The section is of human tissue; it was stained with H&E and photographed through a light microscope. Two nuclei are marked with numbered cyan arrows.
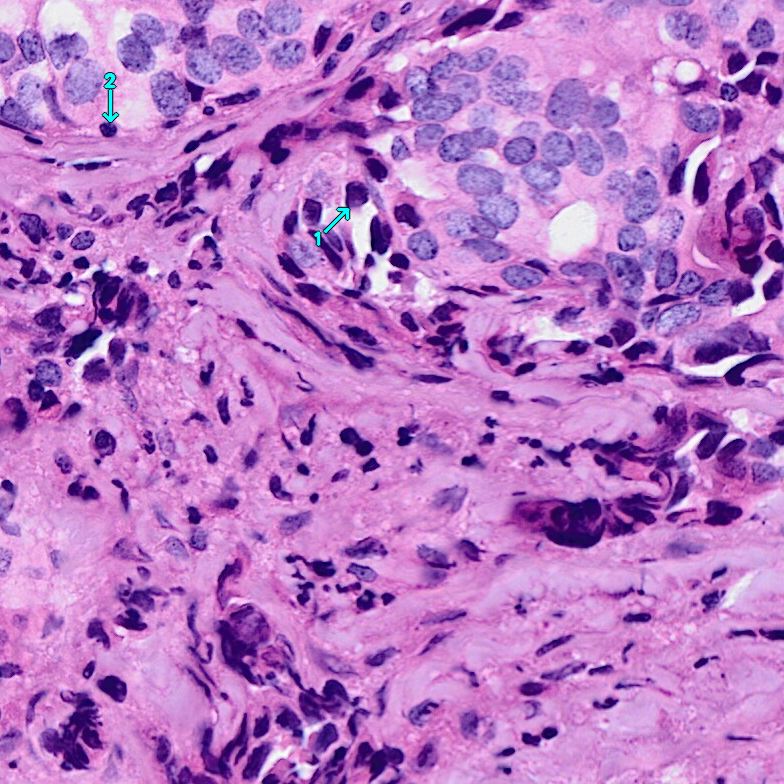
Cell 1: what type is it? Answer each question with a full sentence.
Heads up, the cell numbered 1 is a carcinoma cell.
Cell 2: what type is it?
The nucleus labeled 2 belongs to a lymphocyte.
